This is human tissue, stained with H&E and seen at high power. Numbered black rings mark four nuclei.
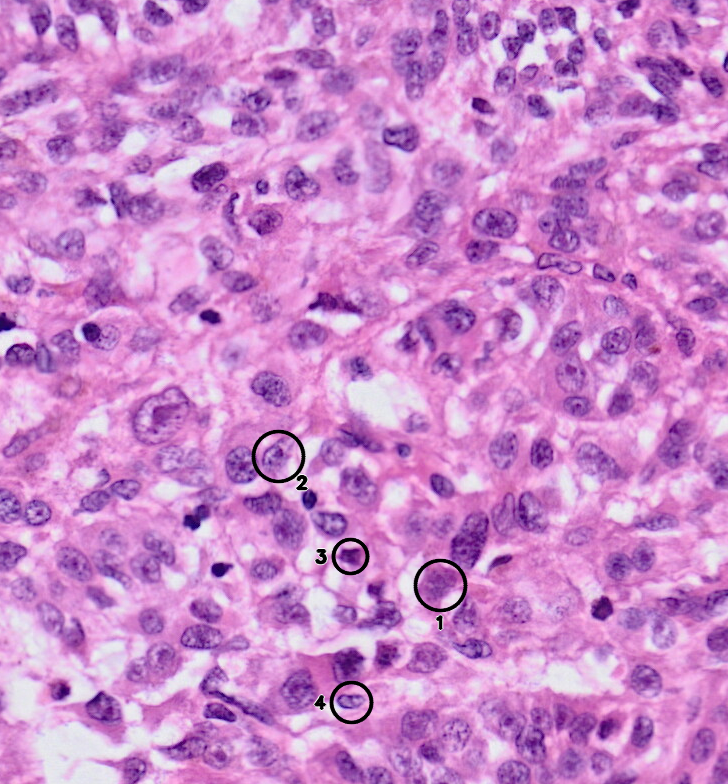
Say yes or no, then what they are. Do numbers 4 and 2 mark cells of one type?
No, cell 4 is a macrophage or monocyte, while a melanoma cell is what cell 2 is.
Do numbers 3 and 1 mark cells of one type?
Yes, cells 3 and 1 both belong among the melanoma cells.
